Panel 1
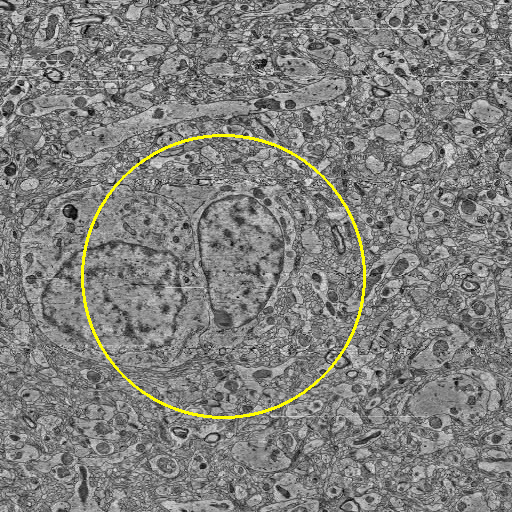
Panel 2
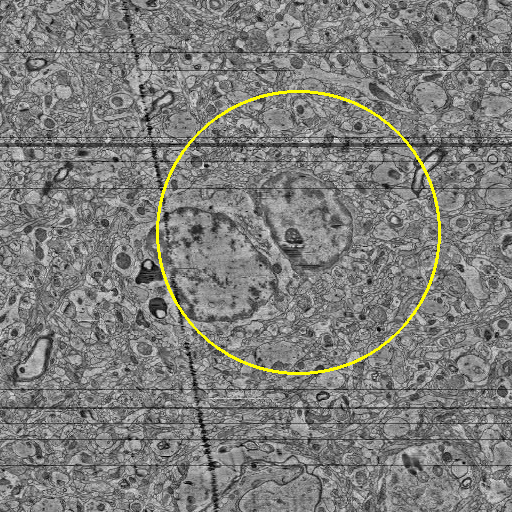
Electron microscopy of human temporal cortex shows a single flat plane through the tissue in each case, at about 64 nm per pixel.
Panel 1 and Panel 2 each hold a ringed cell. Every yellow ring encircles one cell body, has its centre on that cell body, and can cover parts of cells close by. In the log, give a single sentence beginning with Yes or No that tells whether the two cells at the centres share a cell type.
No, in Panel 1 and Panel 2 the centred cells are of two cell types.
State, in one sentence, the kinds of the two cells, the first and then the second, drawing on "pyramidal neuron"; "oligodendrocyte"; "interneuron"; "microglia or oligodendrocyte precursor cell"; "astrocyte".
The ring in the second picture is centred on an oligodendrocyte, the ring in the first on a microglial cell or oligodendrocyte precursor cell.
